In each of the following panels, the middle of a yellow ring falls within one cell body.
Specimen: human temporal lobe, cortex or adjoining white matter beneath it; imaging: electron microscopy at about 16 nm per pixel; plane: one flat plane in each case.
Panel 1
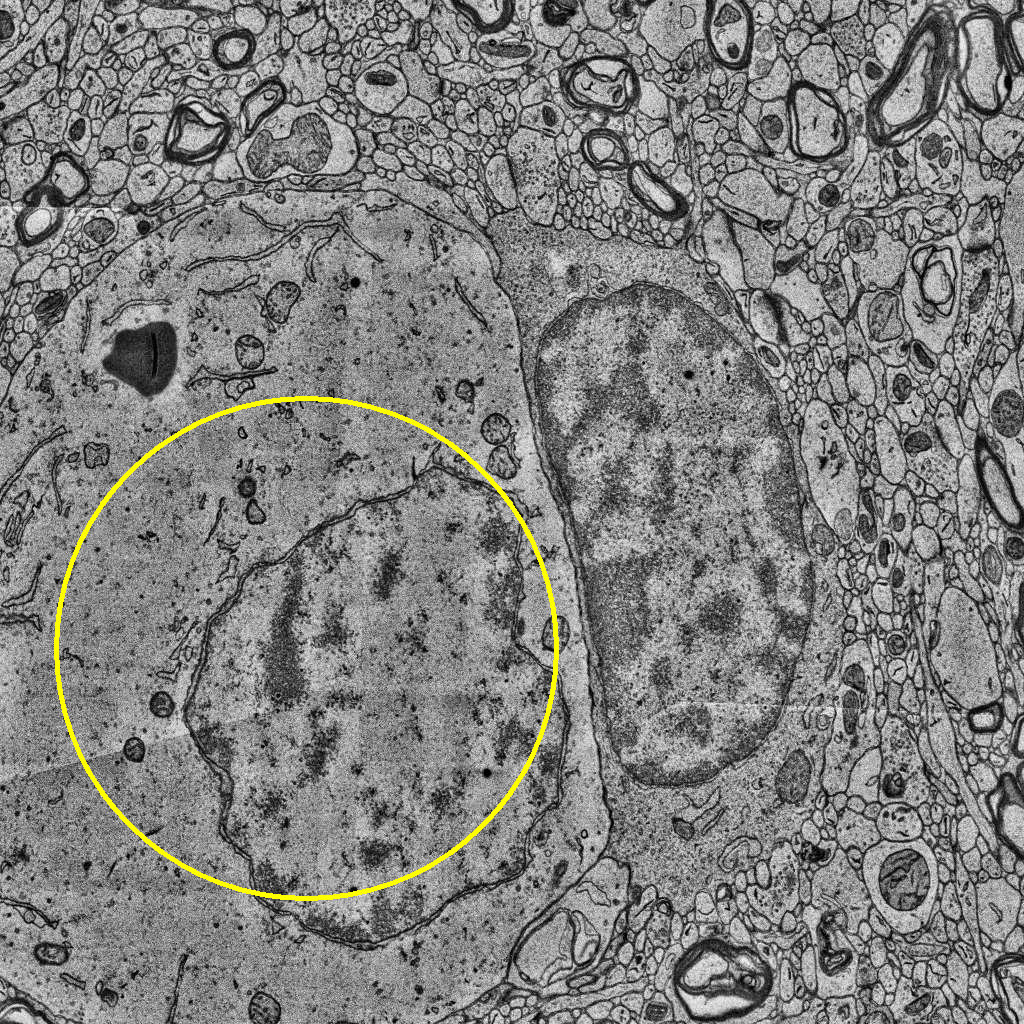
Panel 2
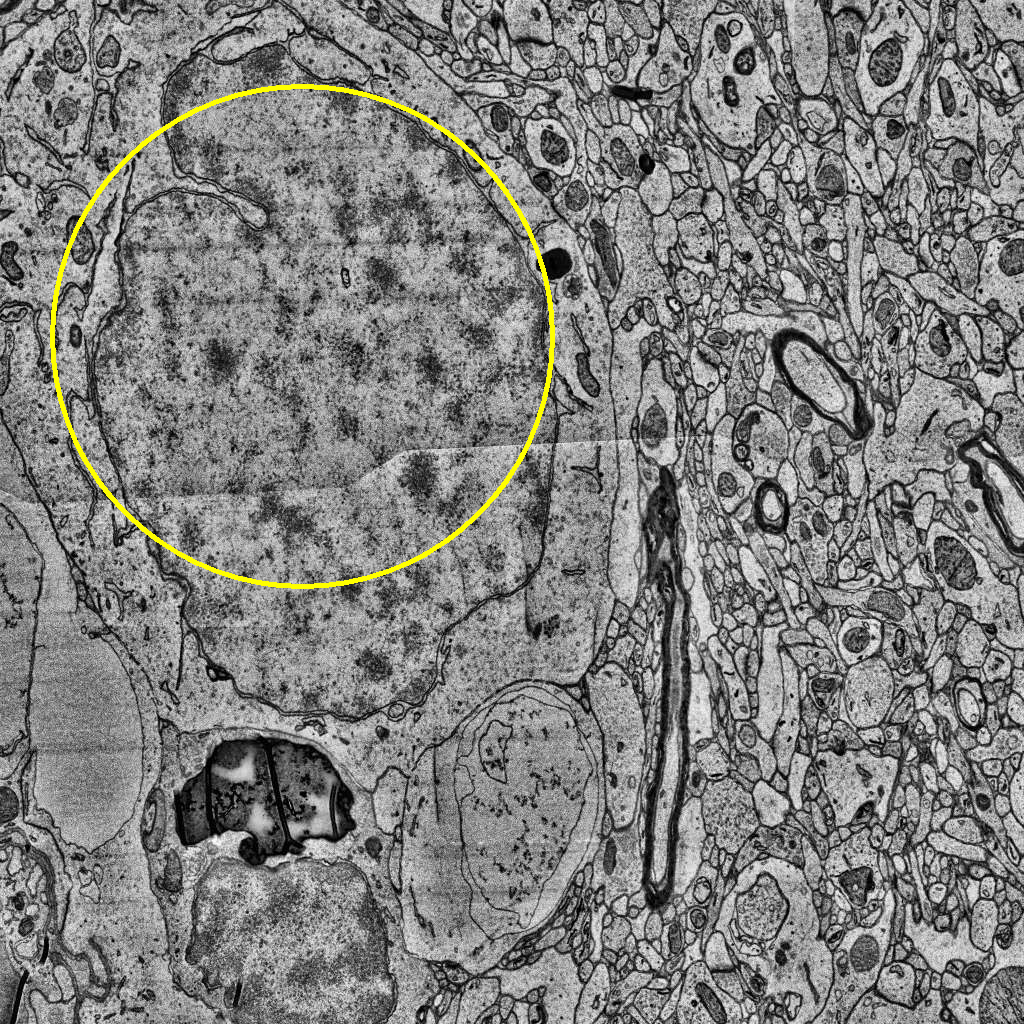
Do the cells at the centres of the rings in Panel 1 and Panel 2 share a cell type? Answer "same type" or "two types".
same type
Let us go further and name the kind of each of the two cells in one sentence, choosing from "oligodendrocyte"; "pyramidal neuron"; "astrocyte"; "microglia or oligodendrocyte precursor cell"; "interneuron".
Each cell, in the first picture and the second, is an interneuron.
